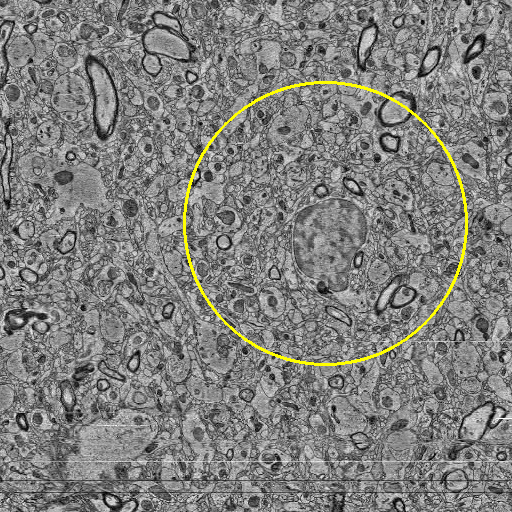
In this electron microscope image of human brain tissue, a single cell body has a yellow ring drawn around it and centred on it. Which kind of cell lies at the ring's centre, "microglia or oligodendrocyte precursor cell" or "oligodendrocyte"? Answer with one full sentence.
It is a microglial cell or oligodendrocyte precursor cell whose cell body lies at the centre of the yellow ring here.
